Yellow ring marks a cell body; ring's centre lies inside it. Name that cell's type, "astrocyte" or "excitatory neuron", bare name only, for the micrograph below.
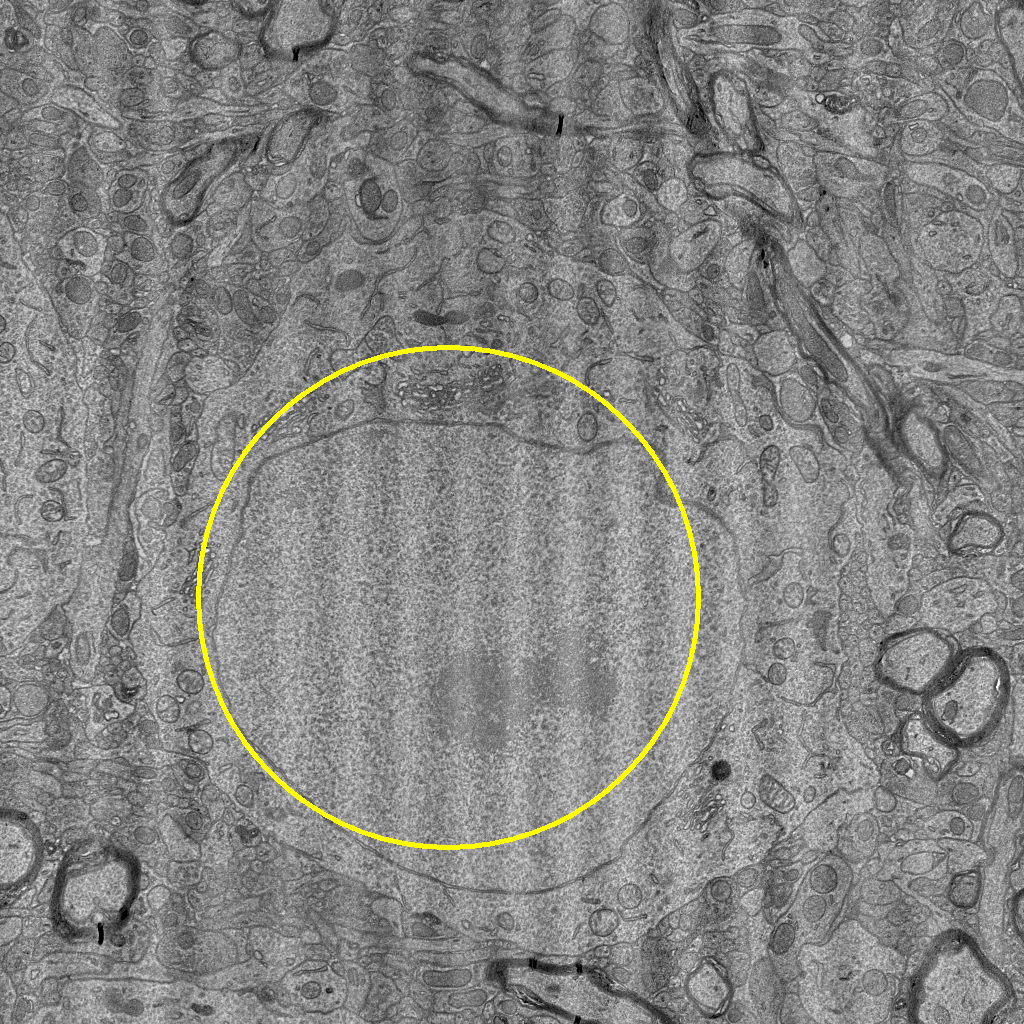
excitatory neuron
